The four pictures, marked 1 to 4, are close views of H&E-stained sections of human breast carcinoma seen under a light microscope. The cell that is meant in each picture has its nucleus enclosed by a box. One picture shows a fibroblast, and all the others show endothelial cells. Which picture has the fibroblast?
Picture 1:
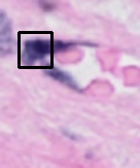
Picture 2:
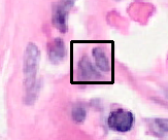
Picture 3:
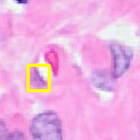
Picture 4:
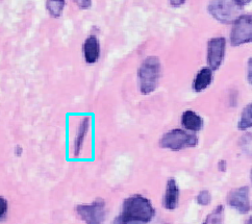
4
